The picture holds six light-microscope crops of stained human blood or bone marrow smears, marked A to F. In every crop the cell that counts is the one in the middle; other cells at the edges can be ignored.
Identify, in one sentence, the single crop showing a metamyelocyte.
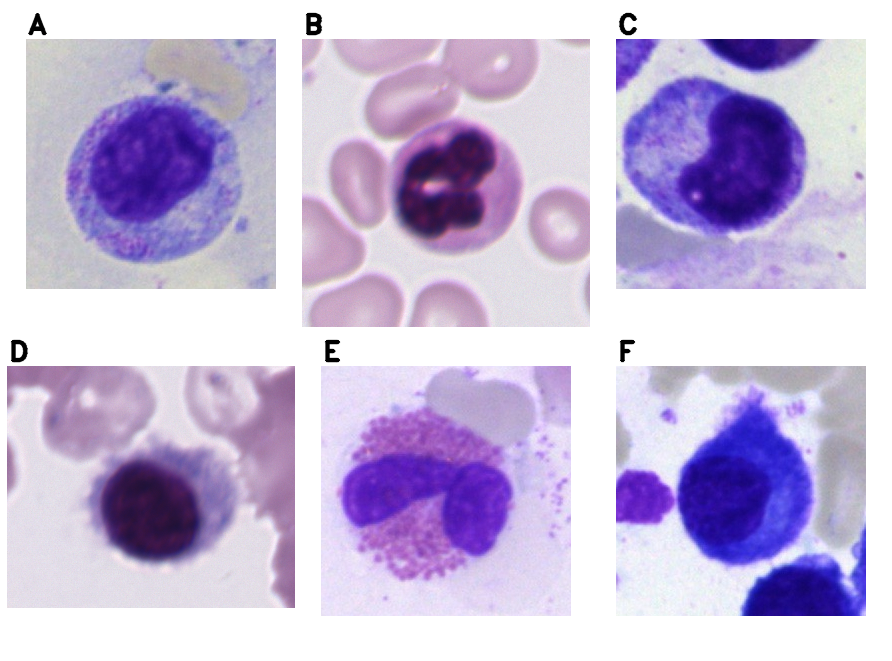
The correct choice is crop C, the one showing a metamyelocyte.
